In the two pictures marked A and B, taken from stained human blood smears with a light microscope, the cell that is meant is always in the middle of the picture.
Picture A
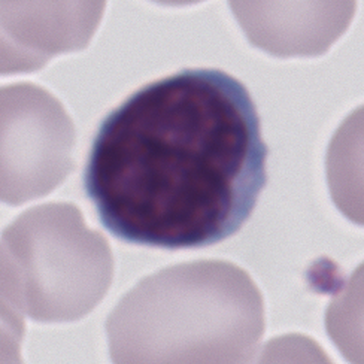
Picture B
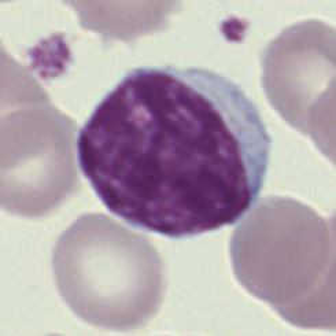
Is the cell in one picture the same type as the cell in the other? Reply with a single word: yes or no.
yes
